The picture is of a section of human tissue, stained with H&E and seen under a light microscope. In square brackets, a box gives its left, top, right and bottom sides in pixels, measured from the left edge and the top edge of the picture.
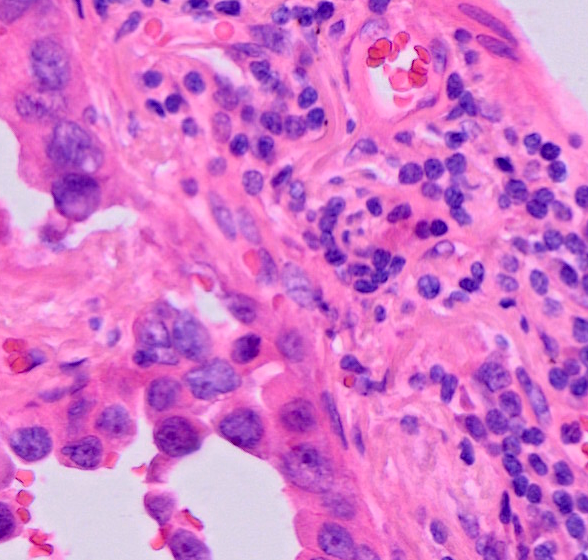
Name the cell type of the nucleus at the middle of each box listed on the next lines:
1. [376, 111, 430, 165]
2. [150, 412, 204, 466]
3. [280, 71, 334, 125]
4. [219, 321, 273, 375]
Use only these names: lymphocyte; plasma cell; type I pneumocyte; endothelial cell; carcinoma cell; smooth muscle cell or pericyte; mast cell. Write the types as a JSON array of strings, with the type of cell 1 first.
["lymphocyte", "carcinoma cell", "lymphocyte", "carcinoma cell"]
